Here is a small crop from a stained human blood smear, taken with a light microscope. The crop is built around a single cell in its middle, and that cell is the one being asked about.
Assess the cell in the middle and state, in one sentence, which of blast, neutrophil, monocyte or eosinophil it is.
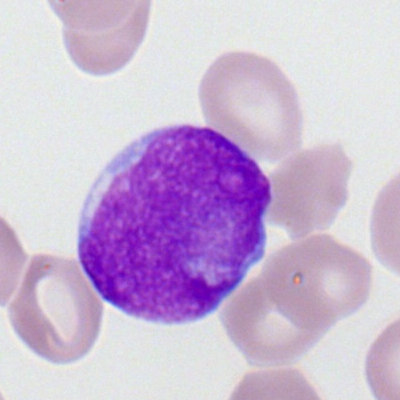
The identification for the central cell is a blast.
